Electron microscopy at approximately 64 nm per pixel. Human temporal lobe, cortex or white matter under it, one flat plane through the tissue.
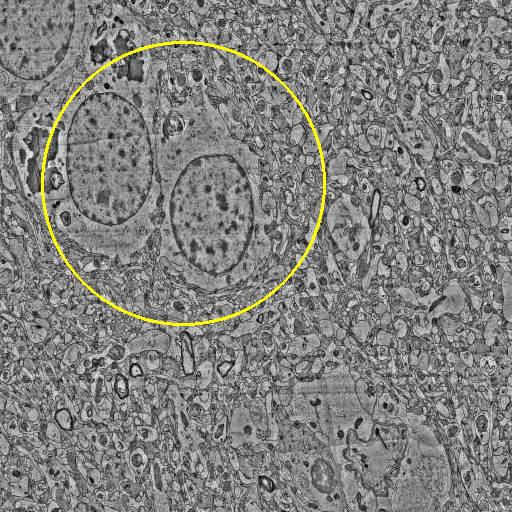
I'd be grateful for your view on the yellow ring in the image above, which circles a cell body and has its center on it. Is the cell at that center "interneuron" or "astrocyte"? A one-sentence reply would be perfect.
The cell at the center of the yellow ring is an astrocyte.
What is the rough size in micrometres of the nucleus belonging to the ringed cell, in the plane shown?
The nucleus of the ringed cell is approximately 8 by 5 micrometres in this plane.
